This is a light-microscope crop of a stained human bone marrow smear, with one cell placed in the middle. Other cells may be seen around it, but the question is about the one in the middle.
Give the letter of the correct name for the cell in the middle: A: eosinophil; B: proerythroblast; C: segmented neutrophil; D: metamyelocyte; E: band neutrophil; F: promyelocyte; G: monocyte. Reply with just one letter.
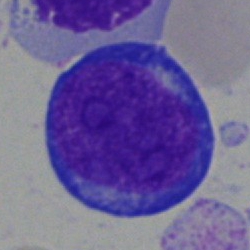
B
